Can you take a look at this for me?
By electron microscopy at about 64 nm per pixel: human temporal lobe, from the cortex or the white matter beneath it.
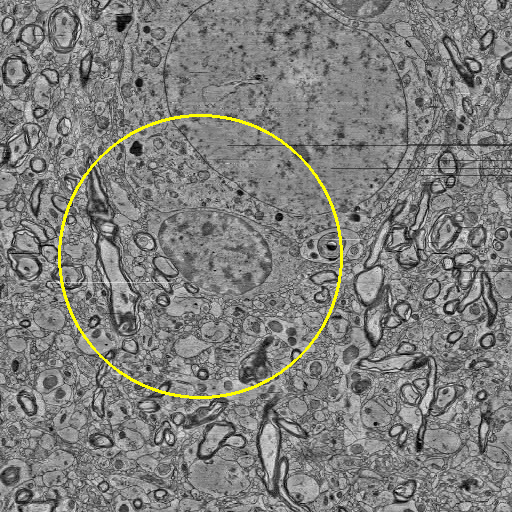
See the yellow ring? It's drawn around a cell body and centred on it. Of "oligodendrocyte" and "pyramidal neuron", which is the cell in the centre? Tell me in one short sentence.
The one in the centre is an oligodendrocyte.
